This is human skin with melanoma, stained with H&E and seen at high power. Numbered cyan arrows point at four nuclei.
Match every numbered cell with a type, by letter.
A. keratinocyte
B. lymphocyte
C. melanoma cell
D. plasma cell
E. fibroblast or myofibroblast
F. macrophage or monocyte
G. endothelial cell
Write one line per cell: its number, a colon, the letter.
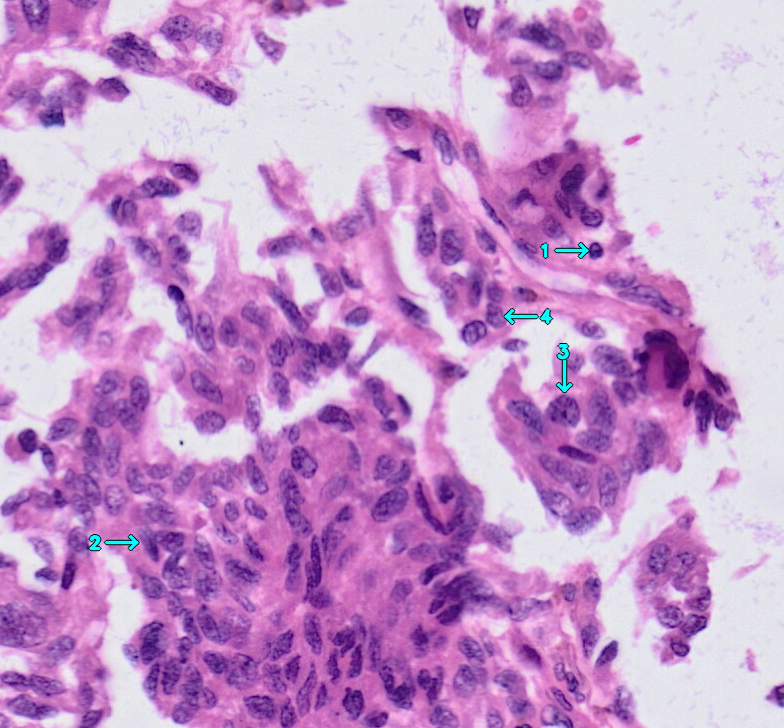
1: B
2: C
3: C
4: C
